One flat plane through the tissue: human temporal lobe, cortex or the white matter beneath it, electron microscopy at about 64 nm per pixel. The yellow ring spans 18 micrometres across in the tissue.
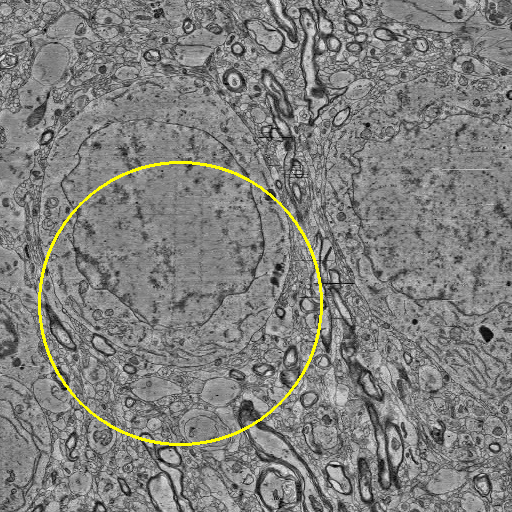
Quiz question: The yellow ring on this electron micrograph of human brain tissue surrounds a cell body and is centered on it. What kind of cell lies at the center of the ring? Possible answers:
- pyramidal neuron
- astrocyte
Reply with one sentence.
The ring's center lies on a pyramidal neuron.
